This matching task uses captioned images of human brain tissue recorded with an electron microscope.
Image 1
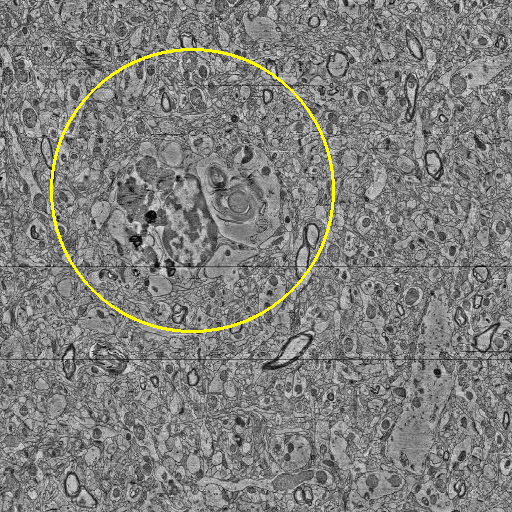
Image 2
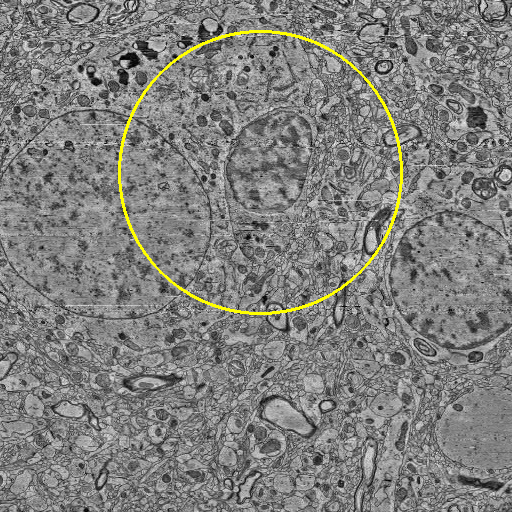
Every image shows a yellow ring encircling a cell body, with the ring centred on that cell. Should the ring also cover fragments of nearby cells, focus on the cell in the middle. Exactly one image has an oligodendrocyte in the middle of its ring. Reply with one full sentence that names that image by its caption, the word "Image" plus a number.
Image 2 shows the cell in question at the centre of its yellow ring.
